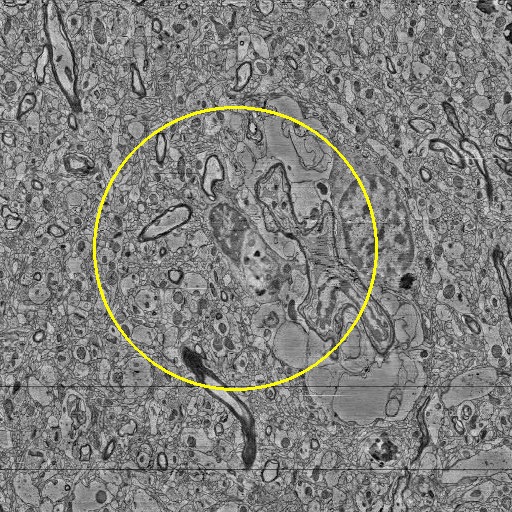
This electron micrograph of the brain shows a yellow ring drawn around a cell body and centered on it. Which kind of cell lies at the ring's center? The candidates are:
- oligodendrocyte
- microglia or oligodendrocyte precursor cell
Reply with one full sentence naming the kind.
The cell lying at the ring's center in this micrograph is an oligodendrocyte.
